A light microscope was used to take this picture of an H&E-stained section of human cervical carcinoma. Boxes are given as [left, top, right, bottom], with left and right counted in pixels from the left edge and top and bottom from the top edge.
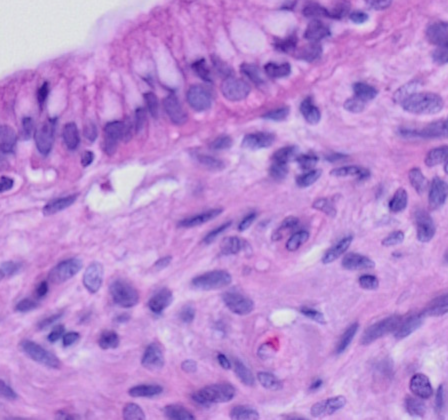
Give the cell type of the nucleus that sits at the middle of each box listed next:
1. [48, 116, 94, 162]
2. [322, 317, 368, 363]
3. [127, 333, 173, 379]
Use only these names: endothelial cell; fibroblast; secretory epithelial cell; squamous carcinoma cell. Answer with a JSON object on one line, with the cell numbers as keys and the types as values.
{"1": "secretory epithelial cell", "2": "fibroblast", "3": "fibroblast"}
